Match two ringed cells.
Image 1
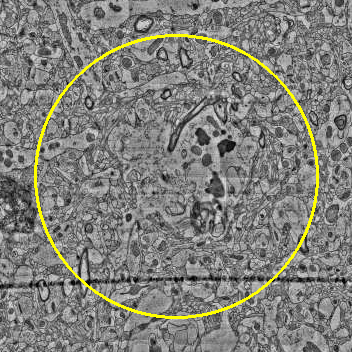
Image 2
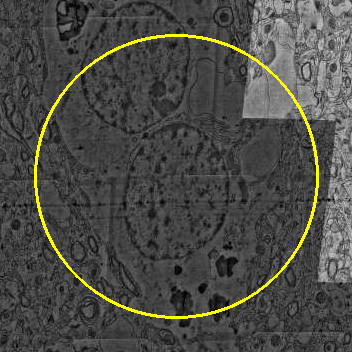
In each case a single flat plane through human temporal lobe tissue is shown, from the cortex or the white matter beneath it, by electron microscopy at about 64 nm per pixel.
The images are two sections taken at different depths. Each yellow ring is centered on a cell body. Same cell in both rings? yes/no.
no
